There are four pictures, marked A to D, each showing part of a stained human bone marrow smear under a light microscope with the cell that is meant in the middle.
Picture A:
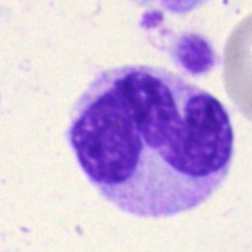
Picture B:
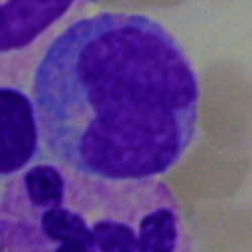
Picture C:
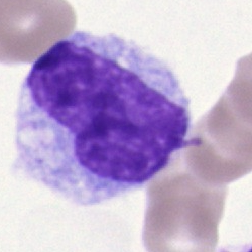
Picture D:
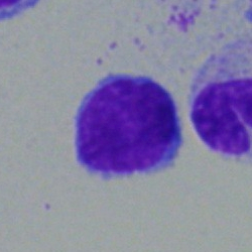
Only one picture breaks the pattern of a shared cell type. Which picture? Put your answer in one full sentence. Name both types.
All pictures except D show monocytes; picture D shows a lymphocyte.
